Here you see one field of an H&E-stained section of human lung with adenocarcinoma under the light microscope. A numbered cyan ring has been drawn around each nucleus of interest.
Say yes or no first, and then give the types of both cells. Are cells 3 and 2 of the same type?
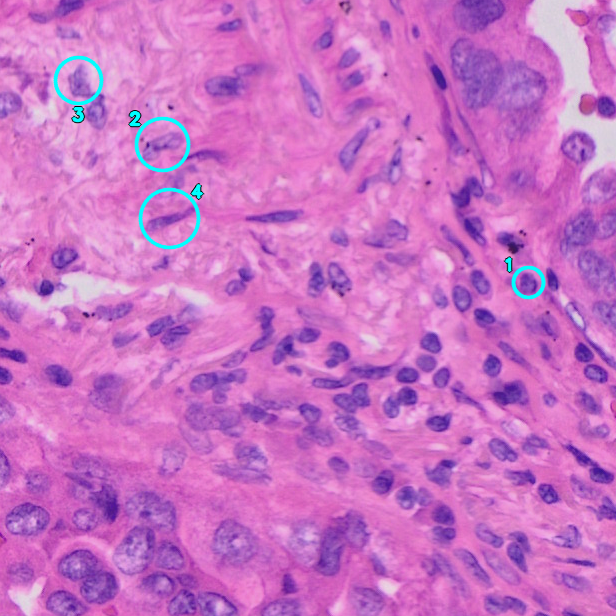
Yes, the numbered cells 3 and 2 are both fibroblasts.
